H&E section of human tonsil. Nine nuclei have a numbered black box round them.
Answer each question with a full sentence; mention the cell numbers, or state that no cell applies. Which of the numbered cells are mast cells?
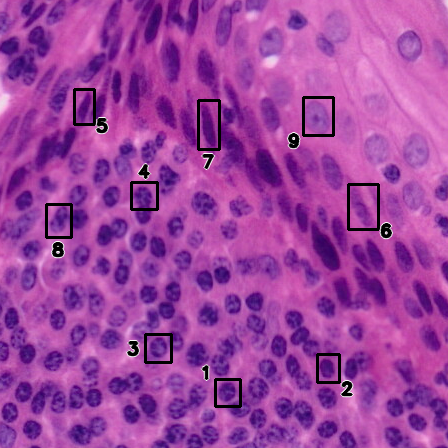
The numbered cells are all of types other than mast cells.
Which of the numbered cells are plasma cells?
The cells numbered 1, 2, 3, 4 and 8 are of the kind known as plasma cells.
